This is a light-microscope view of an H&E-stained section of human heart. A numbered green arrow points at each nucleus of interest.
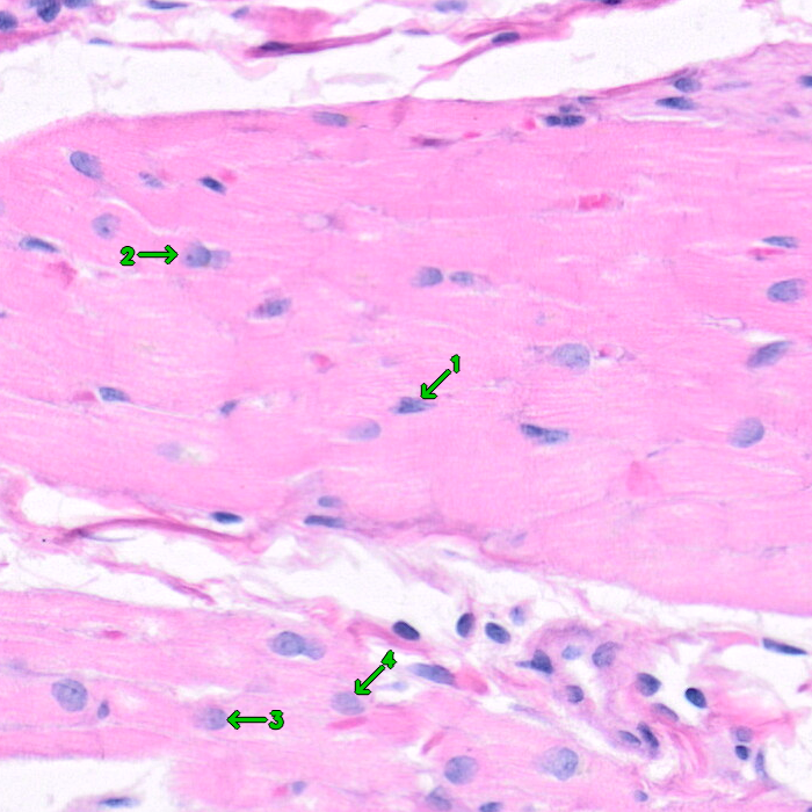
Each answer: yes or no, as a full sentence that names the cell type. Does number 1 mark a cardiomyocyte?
No, the cell at number 1 is an endothelial cell instead of a cardiomyocyte.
